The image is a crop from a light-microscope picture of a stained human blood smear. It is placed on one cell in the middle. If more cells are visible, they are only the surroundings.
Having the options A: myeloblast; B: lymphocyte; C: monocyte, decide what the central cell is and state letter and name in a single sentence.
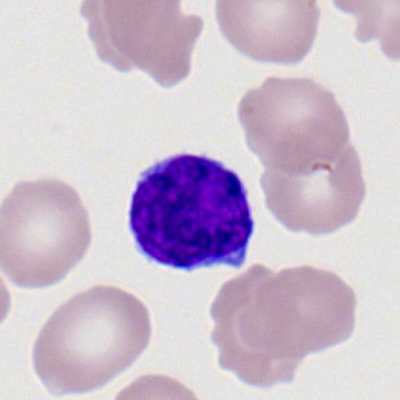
Located in the middle of the crop is a lymphocyte, and option B is therefore correct.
